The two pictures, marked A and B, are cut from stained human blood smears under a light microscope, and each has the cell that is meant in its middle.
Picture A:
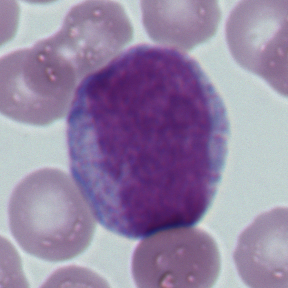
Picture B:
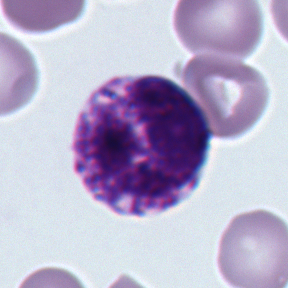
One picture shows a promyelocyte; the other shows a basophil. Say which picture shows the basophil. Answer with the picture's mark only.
B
